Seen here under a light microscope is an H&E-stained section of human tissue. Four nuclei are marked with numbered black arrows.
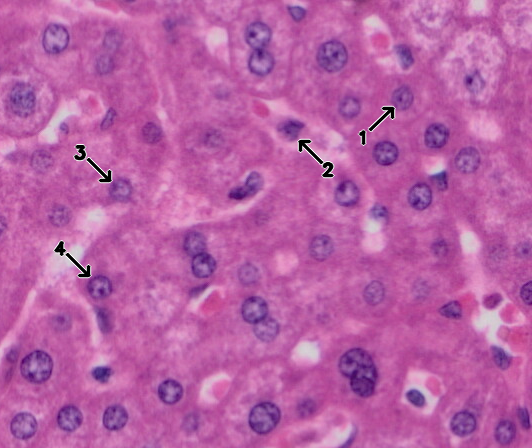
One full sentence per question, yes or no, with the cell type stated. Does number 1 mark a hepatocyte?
Yes, the marked cell number 1 is a hepatocyte.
